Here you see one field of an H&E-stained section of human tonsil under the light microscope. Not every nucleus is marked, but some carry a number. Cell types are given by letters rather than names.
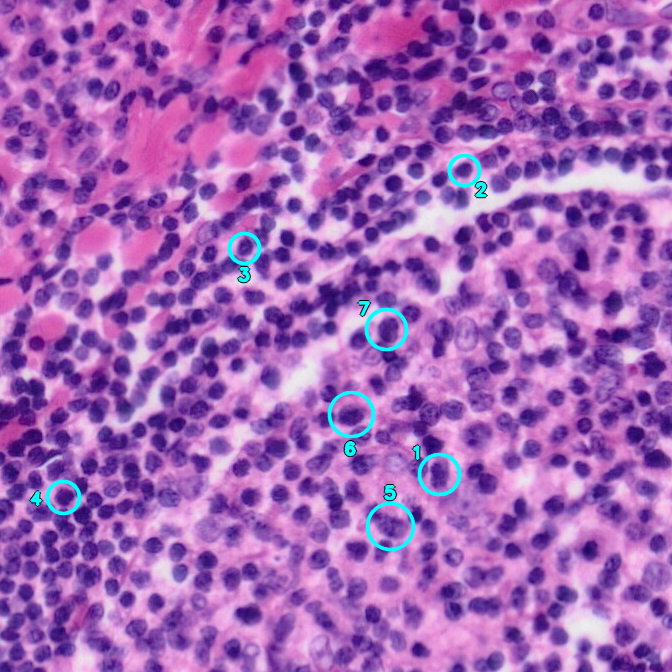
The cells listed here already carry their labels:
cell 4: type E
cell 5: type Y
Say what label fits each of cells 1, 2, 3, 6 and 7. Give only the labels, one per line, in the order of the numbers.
type Y
type E
type E
type Y
type Y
